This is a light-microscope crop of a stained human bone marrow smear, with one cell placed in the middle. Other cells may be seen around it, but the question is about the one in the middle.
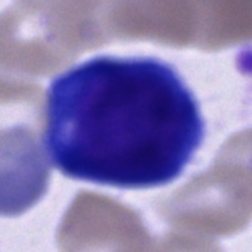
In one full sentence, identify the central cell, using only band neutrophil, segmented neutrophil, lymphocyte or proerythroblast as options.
Answering briefly, the cell in the middle is a proerythroblast.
